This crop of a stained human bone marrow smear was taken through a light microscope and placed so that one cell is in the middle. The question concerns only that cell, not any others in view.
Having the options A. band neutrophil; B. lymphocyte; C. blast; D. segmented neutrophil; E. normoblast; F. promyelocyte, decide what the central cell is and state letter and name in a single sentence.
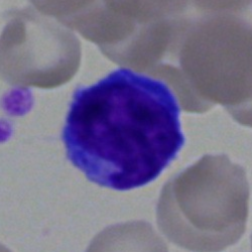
The one to choose is option B, as the cell in the middle is a lymphocyte.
